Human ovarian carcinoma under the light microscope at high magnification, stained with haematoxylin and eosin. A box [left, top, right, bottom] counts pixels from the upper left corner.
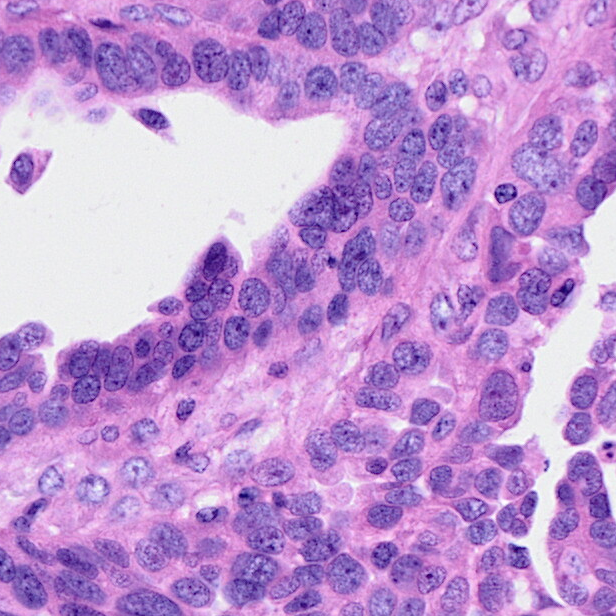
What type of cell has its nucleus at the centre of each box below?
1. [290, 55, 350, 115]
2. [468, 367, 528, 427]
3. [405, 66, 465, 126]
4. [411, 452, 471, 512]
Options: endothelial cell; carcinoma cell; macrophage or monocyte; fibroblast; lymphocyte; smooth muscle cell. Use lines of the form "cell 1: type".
cell 1: carcinoma cell
cell 2: carcinoma cell
cell 3: macrophage or monocyte
cell 4: carcinoma cell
